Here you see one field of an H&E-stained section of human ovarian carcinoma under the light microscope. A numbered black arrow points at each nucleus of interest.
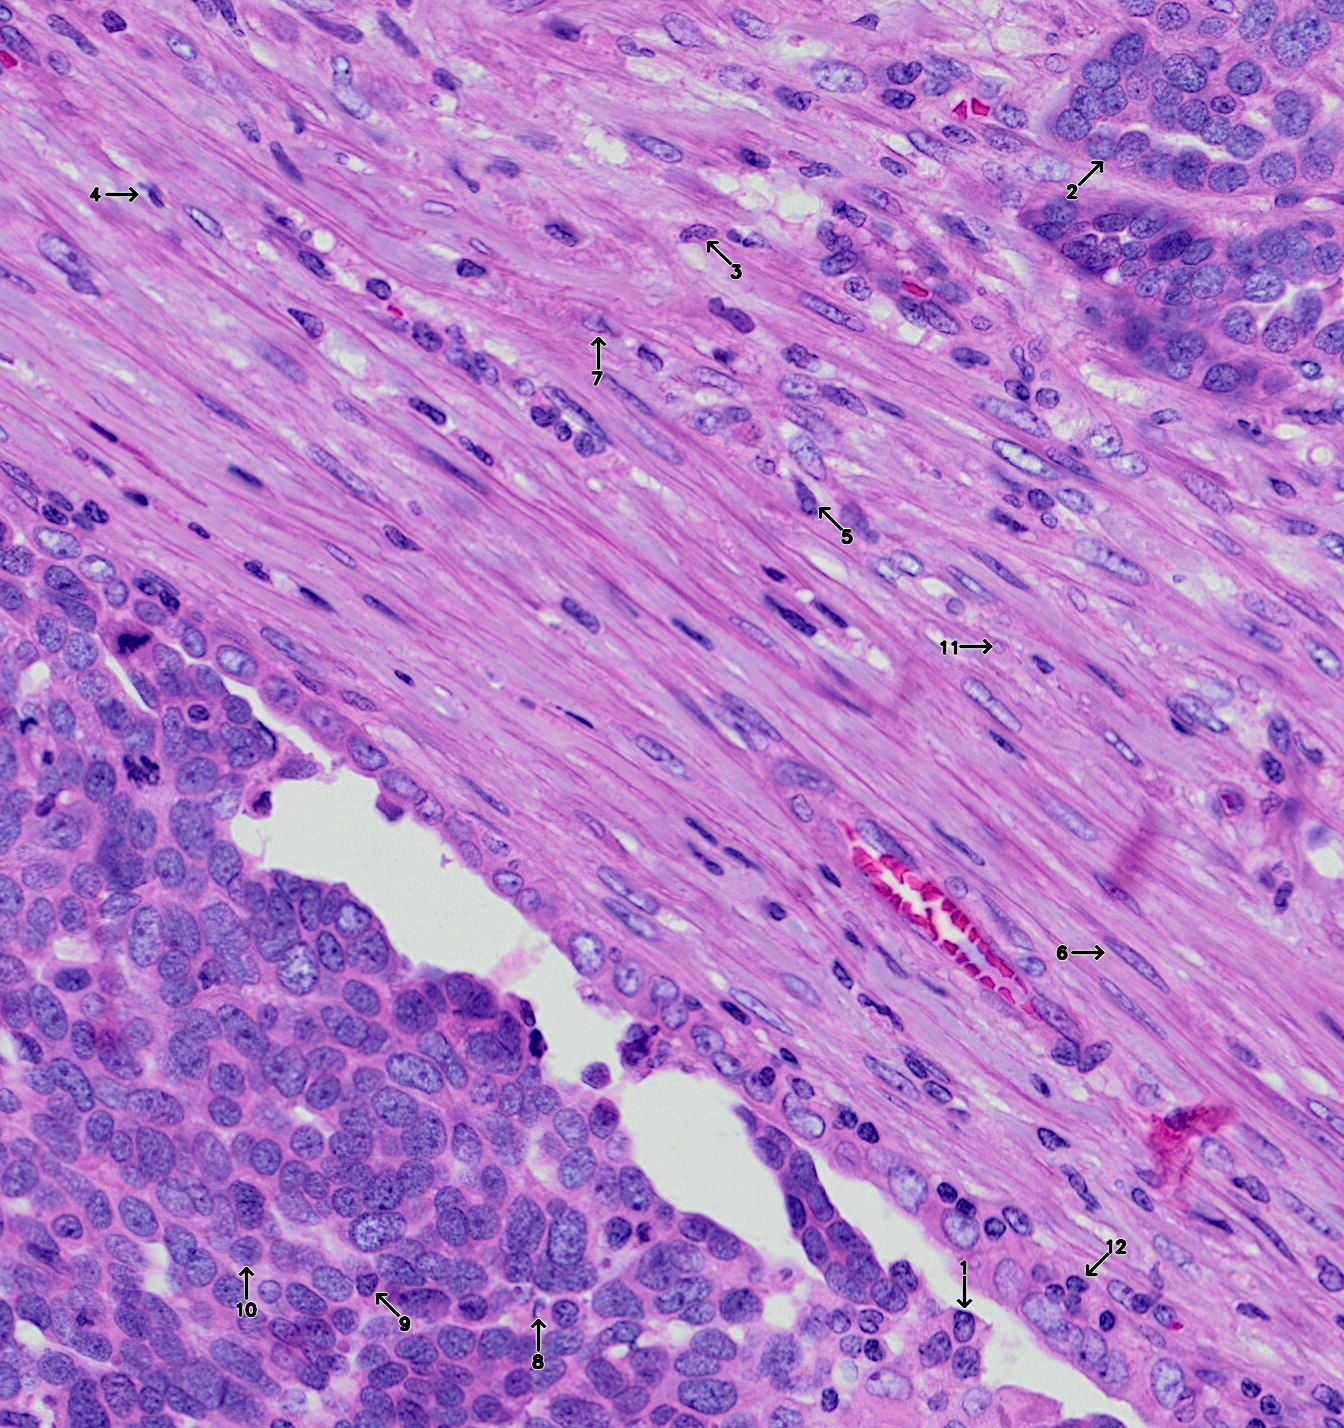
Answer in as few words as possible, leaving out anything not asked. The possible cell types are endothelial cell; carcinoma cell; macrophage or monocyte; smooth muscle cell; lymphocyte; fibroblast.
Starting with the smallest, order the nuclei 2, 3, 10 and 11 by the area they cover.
11, 3, 10, 2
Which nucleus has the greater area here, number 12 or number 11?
12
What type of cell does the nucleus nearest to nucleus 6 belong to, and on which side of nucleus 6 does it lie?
a fibroblast, below and to the right of nucleus 6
